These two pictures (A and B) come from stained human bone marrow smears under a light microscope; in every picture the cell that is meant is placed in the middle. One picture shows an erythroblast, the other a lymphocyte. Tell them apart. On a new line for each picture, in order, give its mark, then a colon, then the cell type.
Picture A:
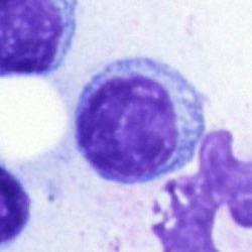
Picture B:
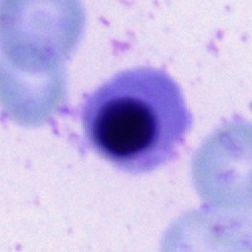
A: lymphocyte
B: erythroblast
